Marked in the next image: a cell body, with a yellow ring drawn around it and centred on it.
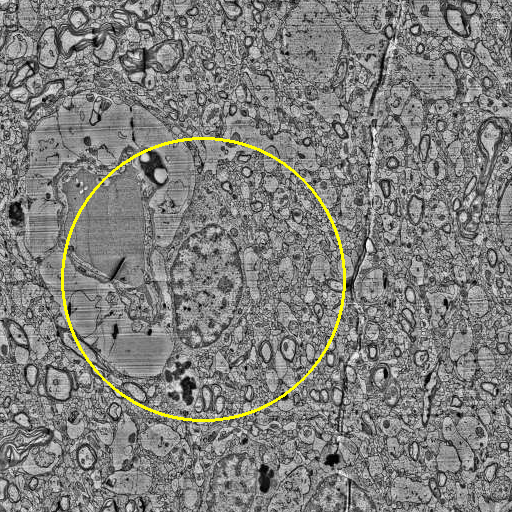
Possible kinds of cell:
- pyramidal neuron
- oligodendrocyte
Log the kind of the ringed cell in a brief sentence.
The ringed cell body is that of an oligodendrocyte.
